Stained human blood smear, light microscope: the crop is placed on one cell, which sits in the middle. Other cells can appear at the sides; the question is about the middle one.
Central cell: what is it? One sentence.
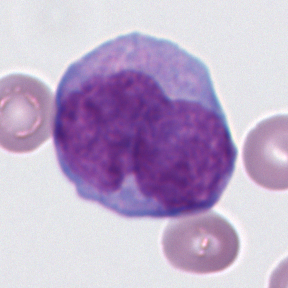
What sits at the centre of this crop is an atypical promyelocyte.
